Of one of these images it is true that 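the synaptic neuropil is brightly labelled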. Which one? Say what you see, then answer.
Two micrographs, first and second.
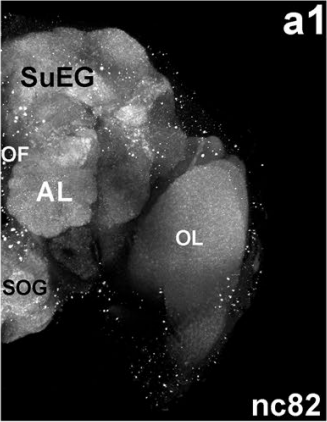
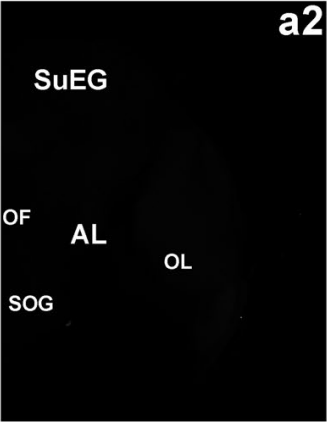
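Second image: the field is almost entirely dark, with the brain outline barely visible. First image: the neuropil regions, including the large lateral lobe and the rounded lobes, are clearly labelled in grey-white. On this evidence: the first image.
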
